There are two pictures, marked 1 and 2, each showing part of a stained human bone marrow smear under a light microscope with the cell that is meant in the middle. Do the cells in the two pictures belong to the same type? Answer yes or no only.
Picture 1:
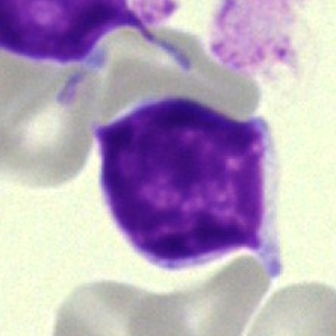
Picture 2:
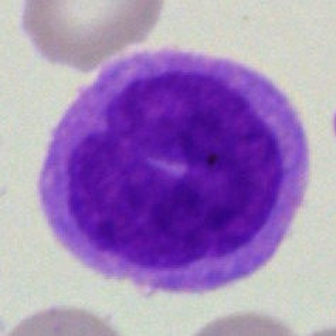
no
